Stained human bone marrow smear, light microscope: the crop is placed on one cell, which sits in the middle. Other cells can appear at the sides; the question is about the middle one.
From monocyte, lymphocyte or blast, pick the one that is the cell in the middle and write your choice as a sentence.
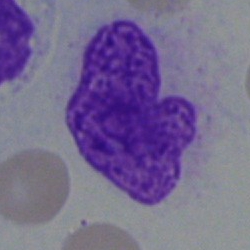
The cell sitting right in the middle is a monocyte.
